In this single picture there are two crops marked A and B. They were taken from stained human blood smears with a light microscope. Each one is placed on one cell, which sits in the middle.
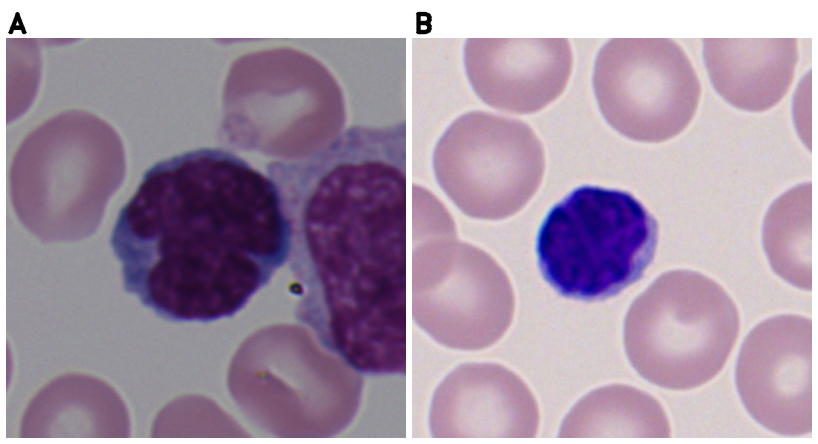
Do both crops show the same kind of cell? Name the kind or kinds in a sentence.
Yes, both crops show lymphocytes, and the two match.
